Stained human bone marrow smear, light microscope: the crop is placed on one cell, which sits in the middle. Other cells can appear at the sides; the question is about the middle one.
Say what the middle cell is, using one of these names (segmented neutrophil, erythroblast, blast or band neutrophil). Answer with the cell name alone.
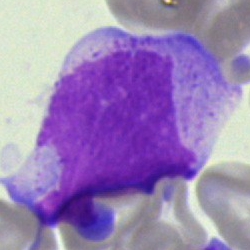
blast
